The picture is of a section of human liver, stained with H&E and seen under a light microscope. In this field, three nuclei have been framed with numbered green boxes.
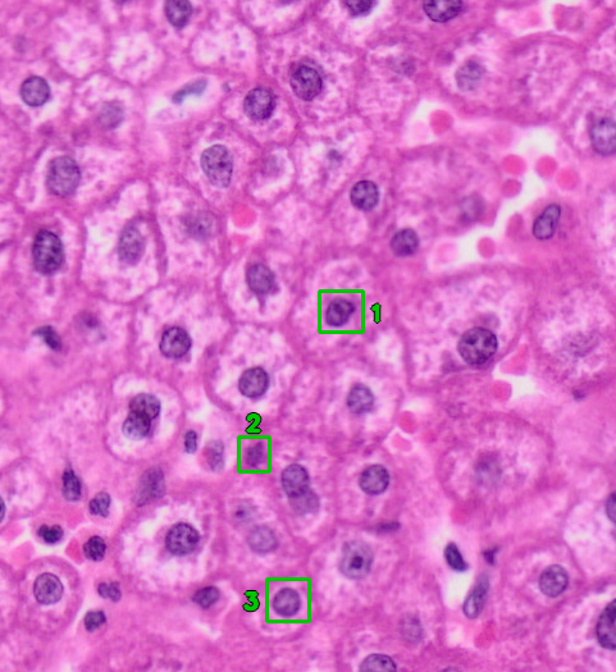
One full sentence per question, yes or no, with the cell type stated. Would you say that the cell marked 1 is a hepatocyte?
Yes, that is correct: the cell numbered 1 is a hepatocyte.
